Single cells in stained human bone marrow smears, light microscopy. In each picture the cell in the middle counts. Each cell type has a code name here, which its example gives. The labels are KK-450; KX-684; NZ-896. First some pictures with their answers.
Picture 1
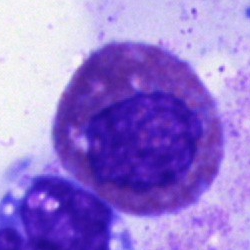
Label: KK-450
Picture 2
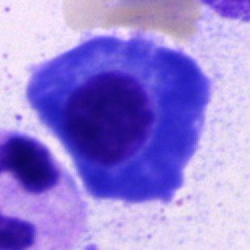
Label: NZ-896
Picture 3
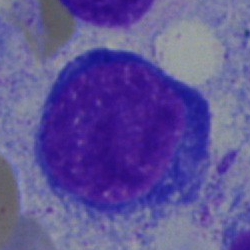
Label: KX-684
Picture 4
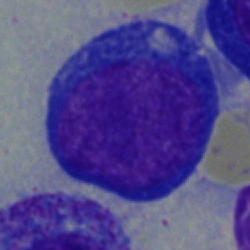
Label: KX-684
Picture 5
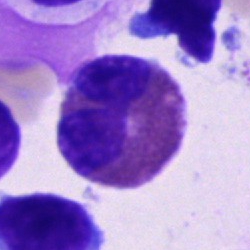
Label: KK-450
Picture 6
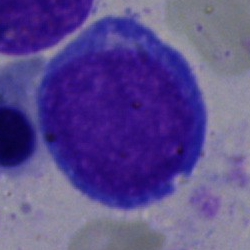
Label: KX-684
